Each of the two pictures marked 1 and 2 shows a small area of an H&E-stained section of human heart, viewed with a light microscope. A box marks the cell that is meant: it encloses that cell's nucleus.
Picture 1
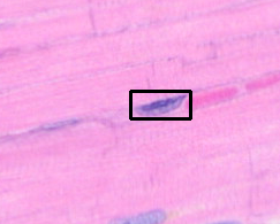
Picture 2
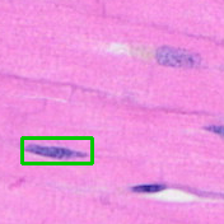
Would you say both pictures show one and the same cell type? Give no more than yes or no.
yes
